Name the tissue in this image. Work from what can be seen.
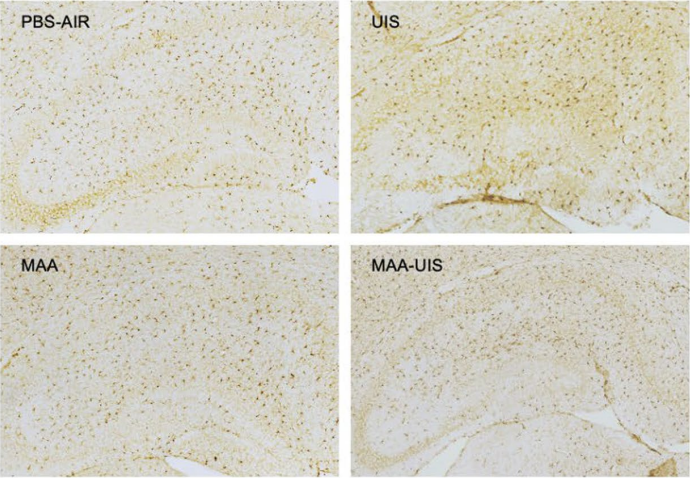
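A curved, densely packed band of cells runs through the sections. The band forms a C- or V-shaped fold typical of the dentate gyrus. Small brown-stained cells are scattered throughout the surrounding tissue.
Conclusion: hippocampus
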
